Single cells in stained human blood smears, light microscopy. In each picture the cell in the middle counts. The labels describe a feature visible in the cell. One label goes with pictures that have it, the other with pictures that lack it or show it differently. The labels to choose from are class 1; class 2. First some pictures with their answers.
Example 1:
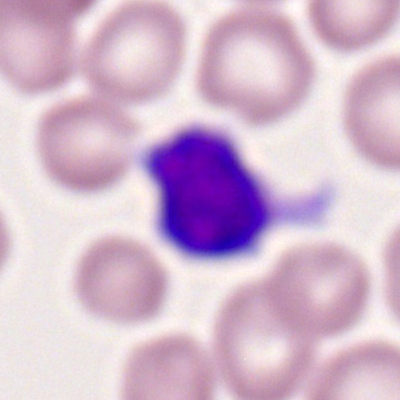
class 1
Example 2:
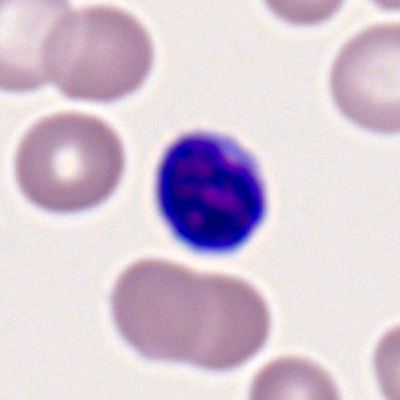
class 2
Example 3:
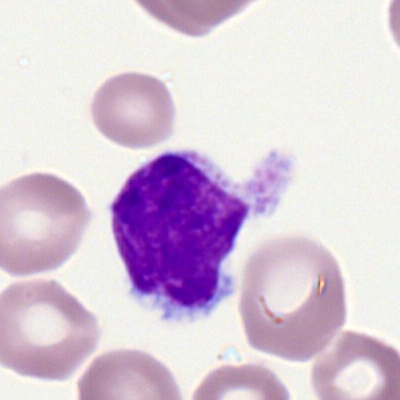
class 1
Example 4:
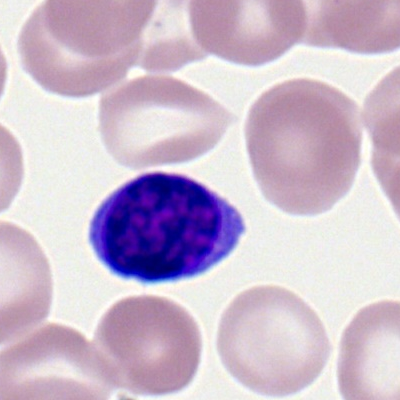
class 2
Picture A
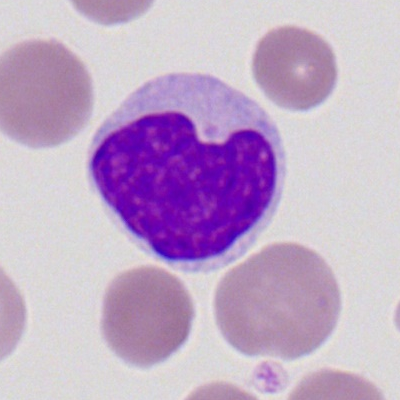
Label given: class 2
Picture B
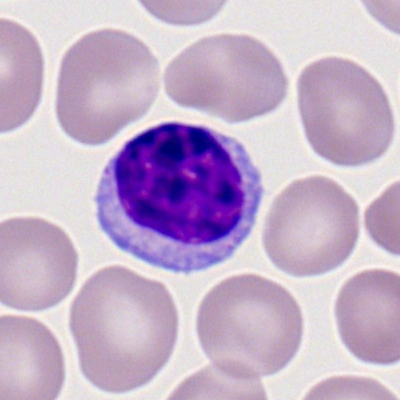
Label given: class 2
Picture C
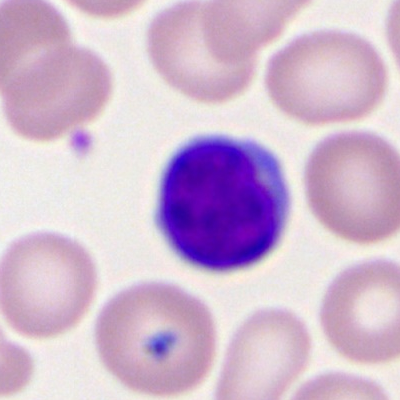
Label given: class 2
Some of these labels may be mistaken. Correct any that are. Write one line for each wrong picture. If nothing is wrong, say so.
Every label is right.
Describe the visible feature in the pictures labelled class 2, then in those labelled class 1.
Seen in class 2: smooth outline; seen in class 1: ragged outline or projections.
